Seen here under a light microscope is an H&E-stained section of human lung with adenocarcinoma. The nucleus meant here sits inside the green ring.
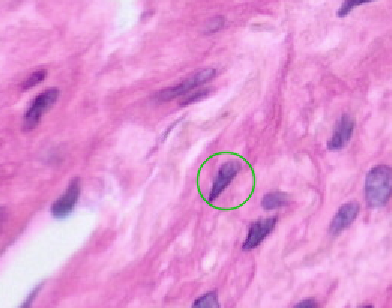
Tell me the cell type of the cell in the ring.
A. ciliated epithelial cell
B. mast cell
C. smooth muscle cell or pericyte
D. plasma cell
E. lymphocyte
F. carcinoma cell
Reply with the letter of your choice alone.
C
